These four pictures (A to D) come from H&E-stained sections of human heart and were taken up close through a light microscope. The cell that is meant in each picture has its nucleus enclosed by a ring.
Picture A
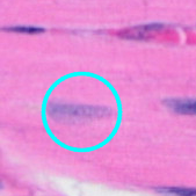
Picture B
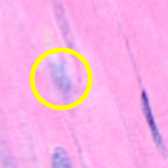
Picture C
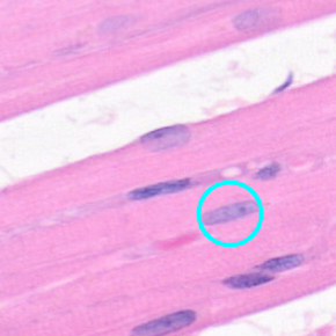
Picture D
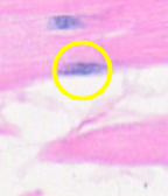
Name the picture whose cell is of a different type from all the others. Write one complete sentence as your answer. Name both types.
The others show cardiomyocytes, but picture D shows an endothelial cell.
